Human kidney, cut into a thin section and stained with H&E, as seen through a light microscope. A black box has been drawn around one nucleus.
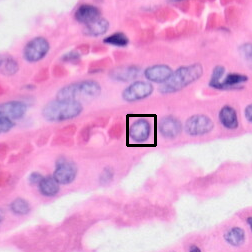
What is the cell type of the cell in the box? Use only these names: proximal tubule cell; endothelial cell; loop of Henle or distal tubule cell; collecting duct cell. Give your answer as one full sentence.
Within this tissue, the cell in the box is a collecting duct cell.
